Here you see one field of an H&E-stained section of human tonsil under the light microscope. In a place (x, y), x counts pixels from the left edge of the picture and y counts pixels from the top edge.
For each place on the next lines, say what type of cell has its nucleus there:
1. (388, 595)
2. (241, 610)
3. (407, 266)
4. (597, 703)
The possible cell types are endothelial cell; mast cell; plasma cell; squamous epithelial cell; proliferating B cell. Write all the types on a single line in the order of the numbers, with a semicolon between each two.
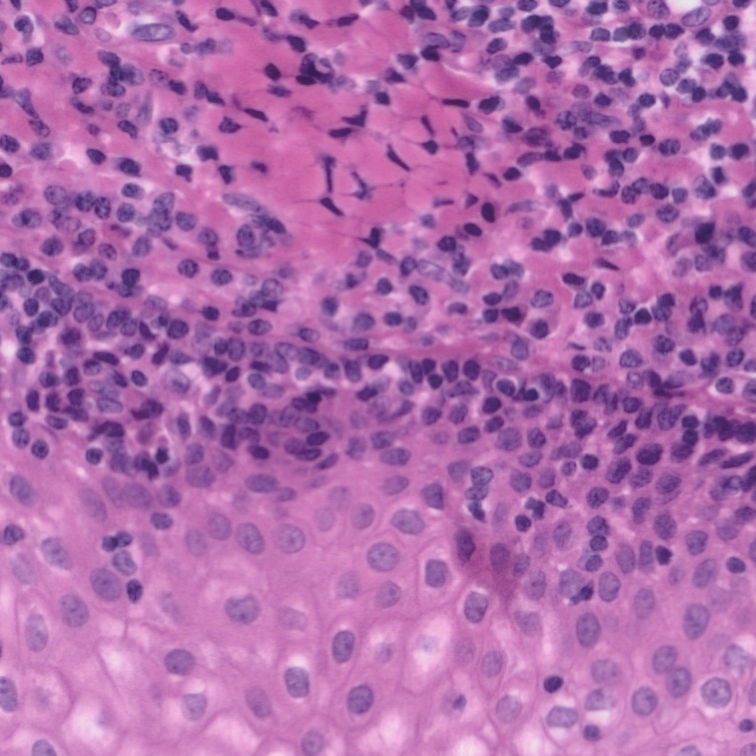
squamous epithelial cell; squamous epithelial cell; plasma cell; squamous epithelial cell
